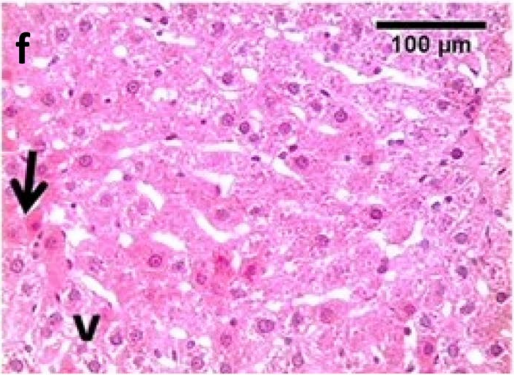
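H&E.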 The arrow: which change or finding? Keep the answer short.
pyknotic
